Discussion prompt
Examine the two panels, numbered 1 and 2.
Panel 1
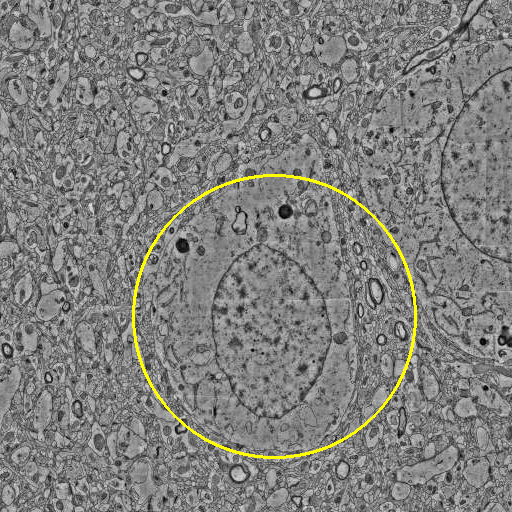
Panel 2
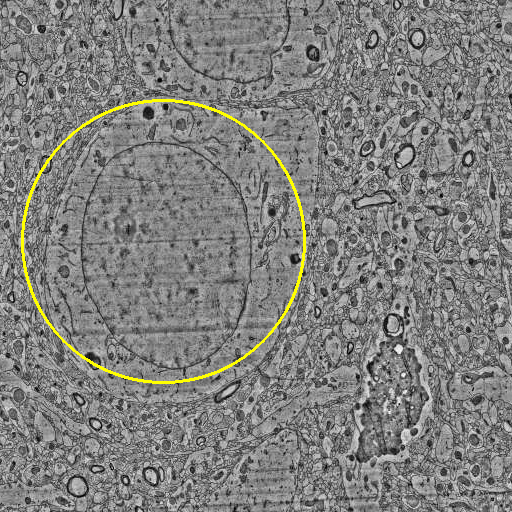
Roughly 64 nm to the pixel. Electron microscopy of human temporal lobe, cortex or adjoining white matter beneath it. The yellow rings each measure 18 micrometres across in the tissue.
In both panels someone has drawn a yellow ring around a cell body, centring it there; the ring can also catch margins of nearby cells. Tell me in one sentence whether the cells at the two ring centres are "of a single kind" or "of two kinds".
Taken together, the two cells centred in the rings of Panels 1 and 2 are of a single kind.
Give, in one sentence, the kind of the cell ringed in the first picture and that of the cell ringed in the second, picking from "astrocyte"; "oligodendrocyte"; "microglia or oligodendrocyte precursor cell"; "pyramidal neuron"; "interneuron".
Each of the two rings is centred on a pyramidal neuron.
